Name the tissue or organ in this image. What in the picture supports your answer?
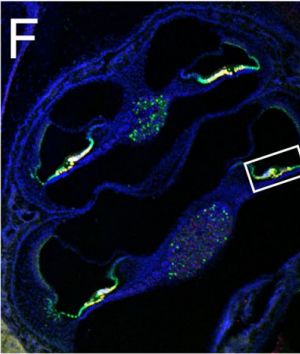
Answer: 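Cochlea. Several cross-sectioned turns of a coiled duct are arranged around a central core. A thickened, brightly labelled epithelial strip lies on the floor of each turn.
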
